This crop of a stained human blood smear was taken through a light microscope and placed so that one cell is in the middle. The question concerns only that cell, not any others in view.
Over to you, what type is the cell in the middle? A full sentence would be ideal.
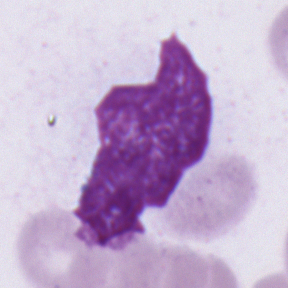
Whatever else lies nearby, the middle cell is a smudge cell.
